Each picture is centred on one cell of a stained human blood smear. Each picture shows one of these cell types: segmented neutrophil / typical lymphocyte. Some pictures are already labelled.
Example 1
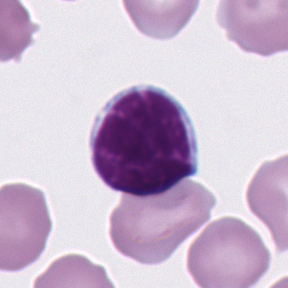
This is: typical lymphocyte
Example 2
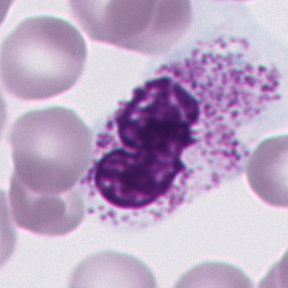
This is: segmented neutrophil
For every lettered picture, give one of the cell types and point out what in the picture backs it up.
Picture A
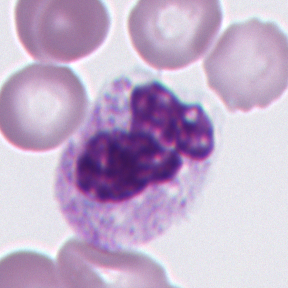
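Answer: segmented neutrophil. The nucleus is divided into several lobes, with a larger lobe at lower left and smaller ones at upper right.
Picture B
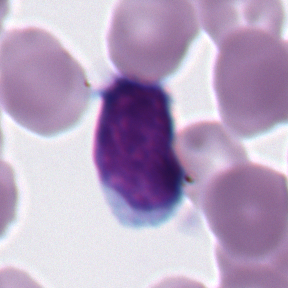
Answer: typical lymphocyte. The cytoplasm is scant and lies mainly at the lower end of the cell.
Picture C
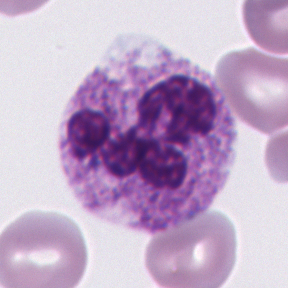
Answer: segmented neutrophil. The cytoplasm is plentiful and pale pinkish-lilac.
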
